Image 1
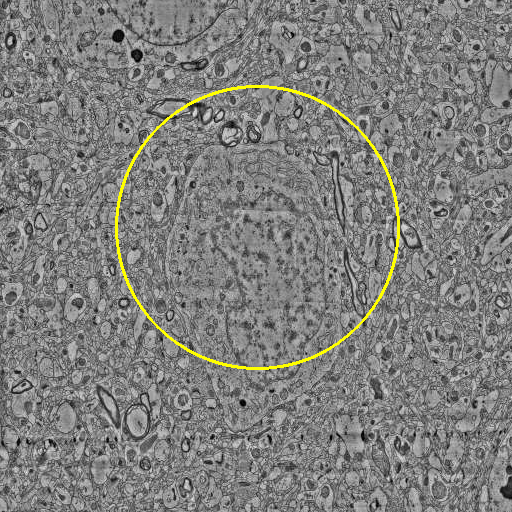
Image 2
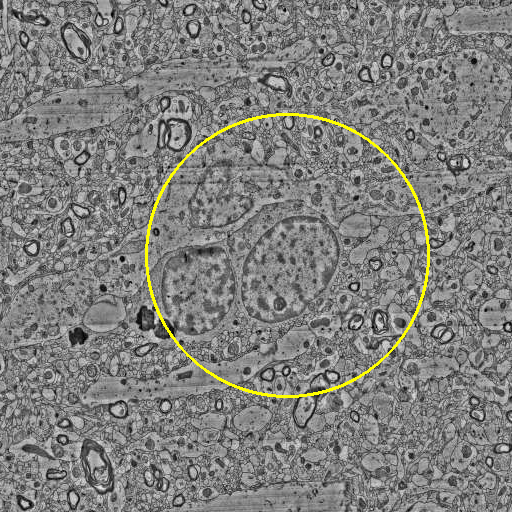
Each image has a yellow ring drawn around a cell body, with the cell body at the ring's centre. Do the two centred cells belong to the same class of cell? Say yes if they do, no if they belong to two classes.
no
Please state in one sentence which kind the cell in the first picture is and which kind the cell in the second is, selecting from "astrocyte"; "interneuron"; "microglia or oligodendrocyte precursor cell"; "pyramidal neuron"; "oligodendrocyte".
The first ringed cell is an interneuron, the second ringed cell an oligodendrocyte.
